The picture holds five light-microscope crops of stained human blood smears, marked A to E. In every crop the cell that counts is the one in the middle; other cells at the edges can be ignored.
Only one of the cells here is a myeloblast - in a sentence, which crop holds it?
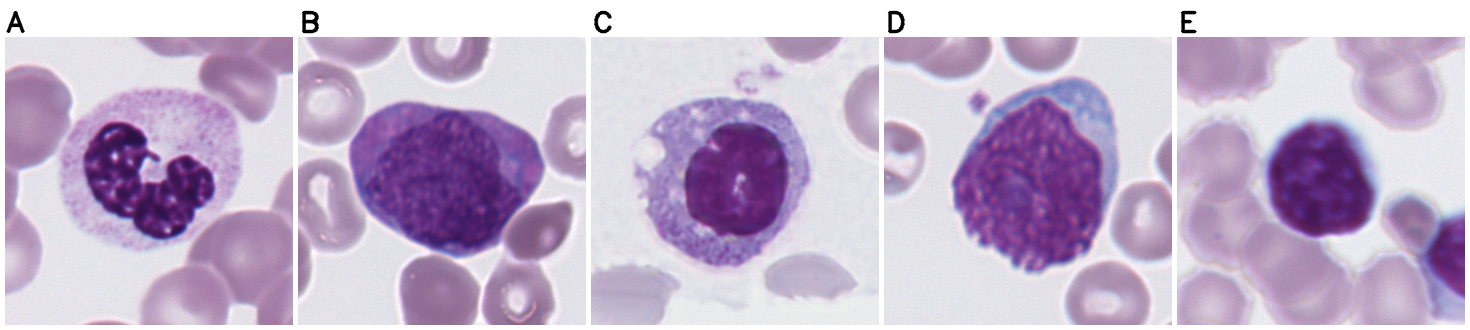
Among all the crops given here, the one with a myeloblast is crop D.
